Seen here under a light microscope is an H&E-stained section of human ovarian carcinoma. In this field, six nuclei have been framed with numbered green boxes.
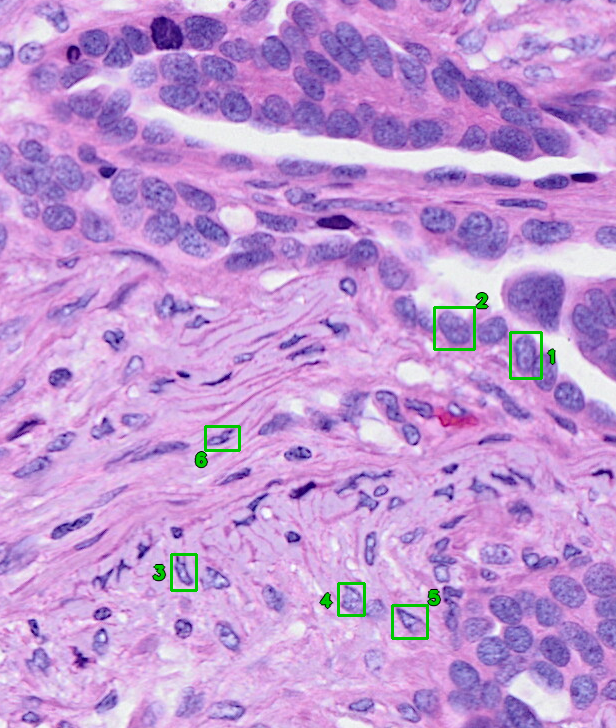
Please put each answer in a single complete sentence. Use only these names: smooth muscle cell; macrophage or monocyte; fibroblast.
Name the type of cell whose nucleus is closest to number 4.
Closest to number 4 lies the nucleus of a fibroblast.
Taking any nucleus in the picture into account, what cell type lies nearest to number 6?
It is a fibroblast whose nucleus is nearest to number 6.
